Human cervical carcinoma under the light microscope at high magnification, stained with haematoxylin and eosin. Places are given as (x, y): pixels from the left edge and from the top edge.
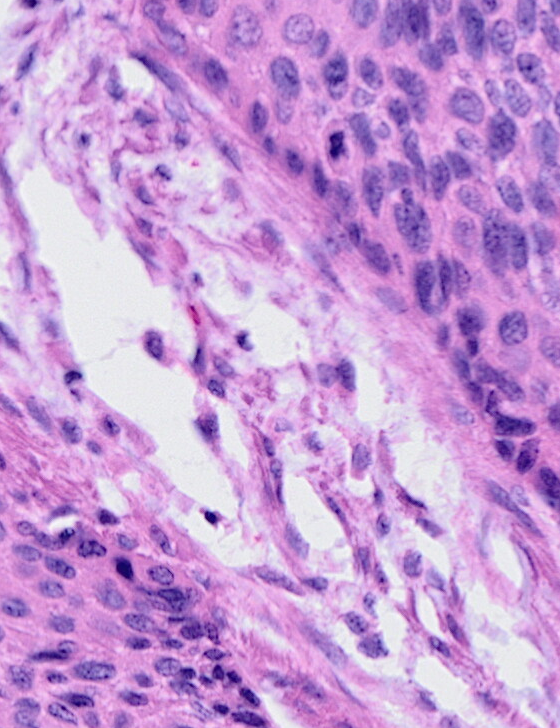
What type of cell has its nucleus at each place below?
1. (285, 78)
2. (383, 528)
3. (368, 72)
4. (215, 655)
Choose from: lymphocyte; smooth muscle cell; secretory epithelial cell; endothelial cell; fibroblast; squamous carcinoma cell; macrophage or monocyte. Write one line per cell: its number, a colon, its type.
1: squamous carcinoma cell
2: fibroblast
3: squamous carcinoma cell
4: squamous carcinoma cell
